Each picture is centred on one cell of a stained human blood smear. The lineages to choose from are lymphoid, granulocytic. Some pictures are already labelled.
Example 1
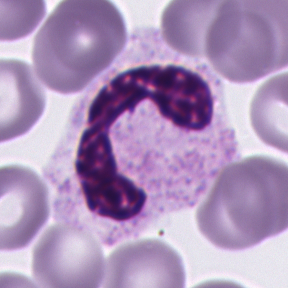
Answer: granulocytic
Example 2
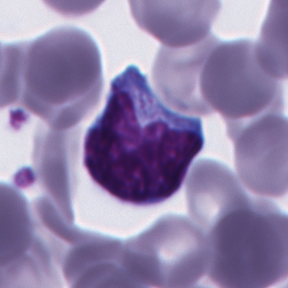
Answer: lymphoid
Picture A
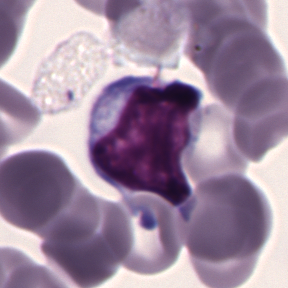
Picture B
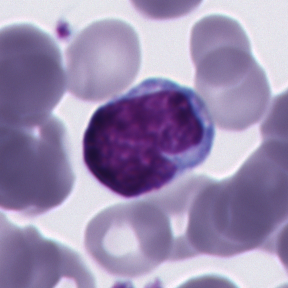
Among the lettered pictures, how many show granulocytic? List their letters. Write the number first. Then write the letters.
0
